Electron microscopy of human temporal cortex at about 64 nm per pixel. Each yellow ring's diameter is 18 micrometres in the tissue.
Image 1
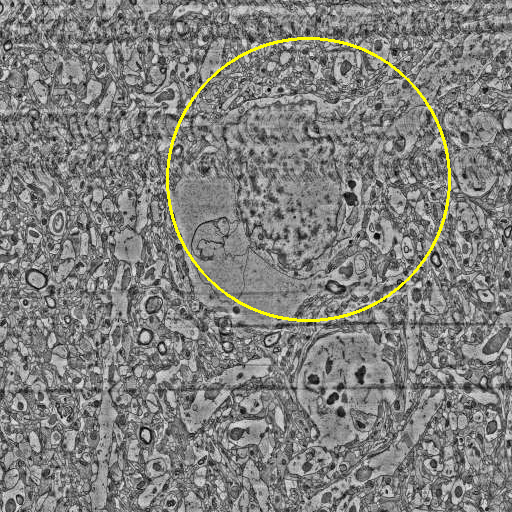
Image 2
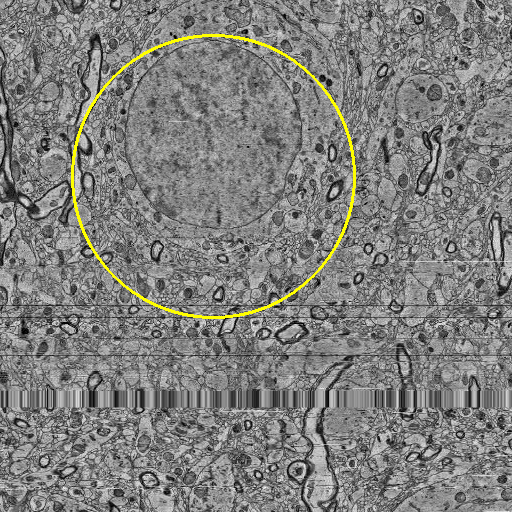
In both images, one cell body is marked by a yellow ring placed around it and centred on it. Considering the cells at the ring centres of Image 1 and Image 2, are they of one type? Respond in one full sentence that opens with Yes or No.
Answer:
Yes, a single type applies to the ring-centred cells of both Image 1 and Image 2.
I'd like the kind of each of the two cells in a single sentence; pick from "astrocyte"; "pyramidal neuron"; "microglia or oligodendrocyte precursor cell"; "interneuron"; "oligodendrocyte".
The cell in the first picture is an interneuron, and so is the one in the second.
